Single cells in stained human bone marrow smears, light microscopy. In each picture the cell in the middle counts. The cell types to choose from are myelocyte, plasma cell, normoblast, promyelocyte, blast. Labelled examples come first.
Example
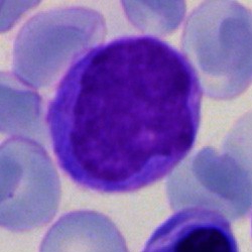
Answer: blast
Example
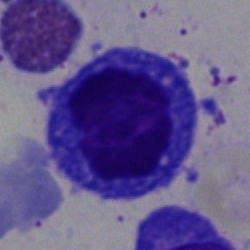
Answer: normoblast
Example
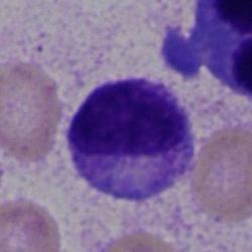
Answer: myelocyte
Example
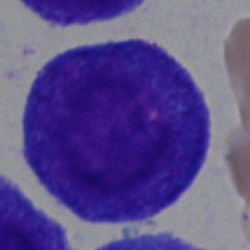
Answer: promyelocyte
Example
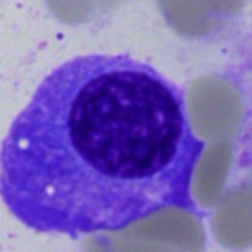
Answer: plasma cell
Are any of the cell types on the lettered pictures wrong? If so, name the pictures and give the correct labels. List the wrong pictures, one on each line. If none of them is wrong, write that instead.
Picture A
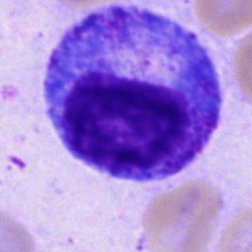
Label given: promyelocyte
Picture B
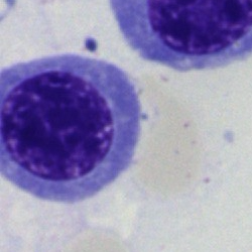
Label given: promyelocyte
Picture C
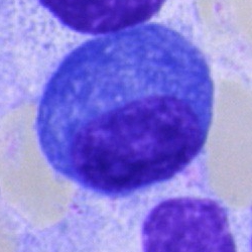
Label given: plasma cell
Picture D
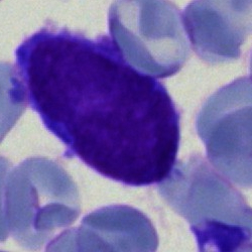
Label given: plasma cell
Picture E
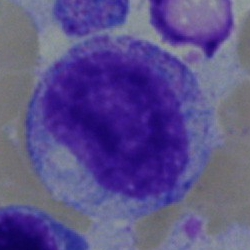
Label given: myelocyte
B: normoblast, not promyelocyte
D: blast, not plasma cell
